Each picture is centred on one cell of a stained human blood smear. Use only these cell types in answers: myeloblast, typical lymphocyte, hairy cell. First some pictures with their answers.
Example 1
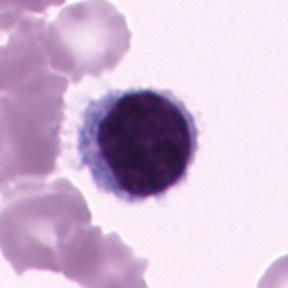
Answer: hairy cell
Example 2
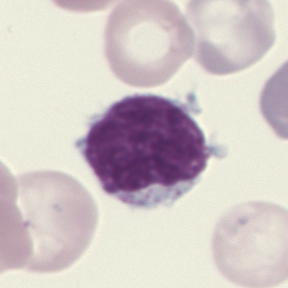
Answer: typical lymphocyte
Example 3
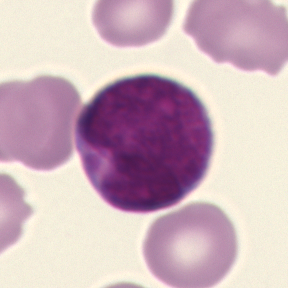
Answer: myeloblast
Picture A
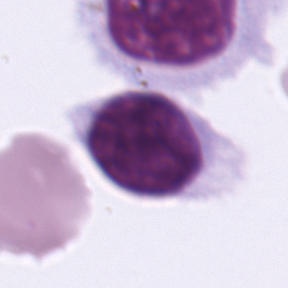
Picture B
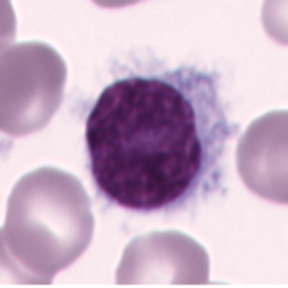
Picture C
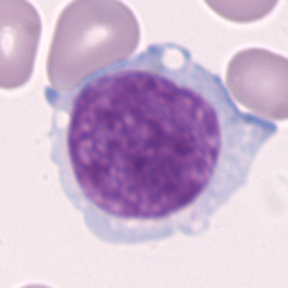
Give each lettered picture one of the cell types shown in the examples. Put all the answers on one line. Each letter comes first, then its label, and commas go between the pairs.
A hairy cell, B hairy cell, C myeloblast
